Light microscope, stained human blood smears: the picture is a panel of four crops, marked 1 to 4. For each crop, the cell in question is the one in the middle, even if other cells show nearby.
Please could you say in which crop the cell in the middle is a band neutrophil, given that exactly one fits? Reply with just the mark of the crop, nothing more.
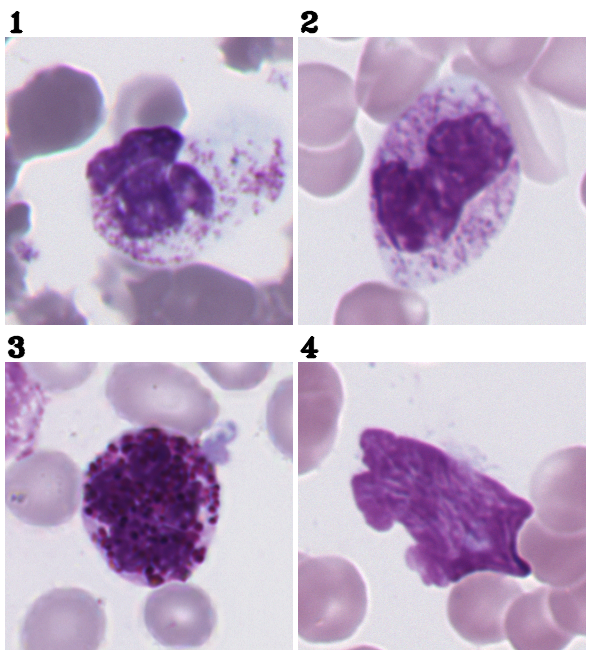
2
